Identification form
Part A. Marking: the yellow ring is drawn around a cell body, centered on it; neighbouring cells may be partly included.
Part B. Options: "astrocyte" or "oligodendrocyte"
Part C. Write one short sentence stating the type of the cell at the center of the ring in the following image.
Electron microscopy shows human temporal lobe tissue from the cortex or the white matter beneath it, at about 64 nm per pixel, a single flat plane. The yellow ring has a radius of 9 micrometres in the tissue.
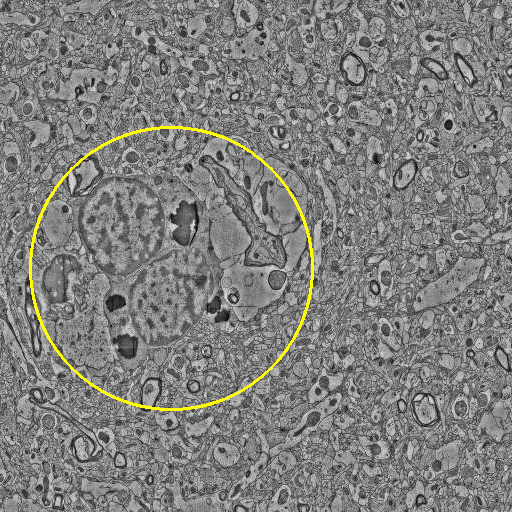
The center of the ring holds an oligodendrocyte.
